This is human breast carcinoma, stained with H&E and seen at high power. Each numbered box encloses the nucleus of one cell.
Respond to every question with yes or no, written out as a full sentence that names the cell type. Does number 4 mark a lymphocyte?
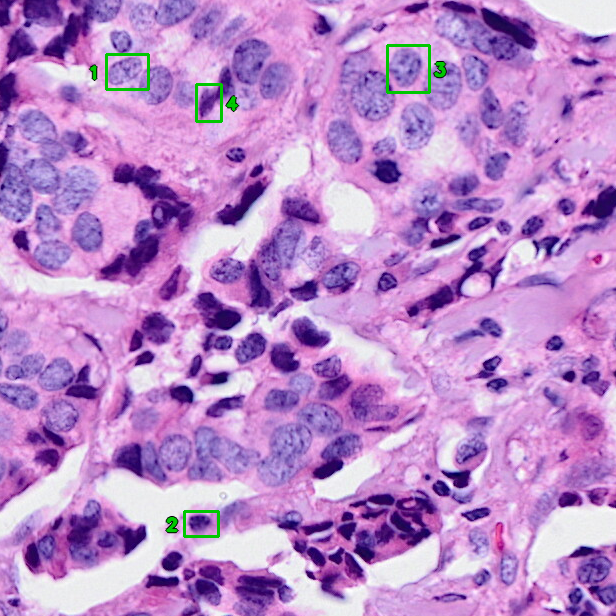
No, cell 4 isn't a lymphocyte; it's a carcinoma cell.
